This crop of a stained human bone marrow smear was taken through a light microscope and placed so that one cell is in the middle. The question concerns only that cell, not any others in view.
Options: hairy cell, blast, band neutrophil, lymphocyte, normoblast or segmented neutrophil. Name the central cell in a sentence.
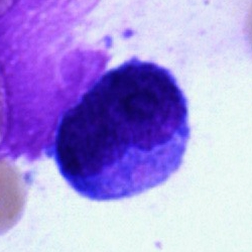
The cell centered in this field of view is a blast.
